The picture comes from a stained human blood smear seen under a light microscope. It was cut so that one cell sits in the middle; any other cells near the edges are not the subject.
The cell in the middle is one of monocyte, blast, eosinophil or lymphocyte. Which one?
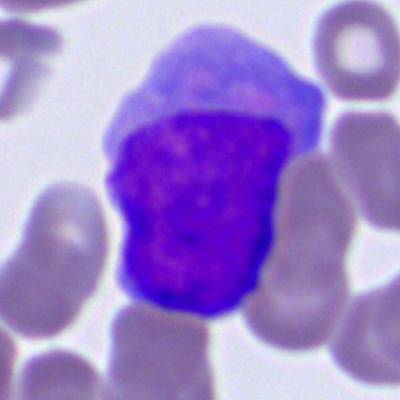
blast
